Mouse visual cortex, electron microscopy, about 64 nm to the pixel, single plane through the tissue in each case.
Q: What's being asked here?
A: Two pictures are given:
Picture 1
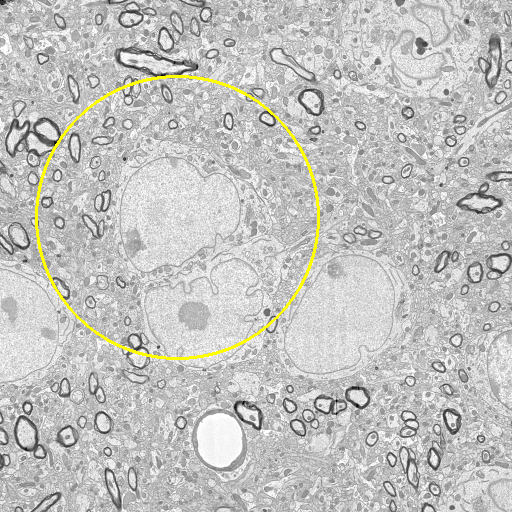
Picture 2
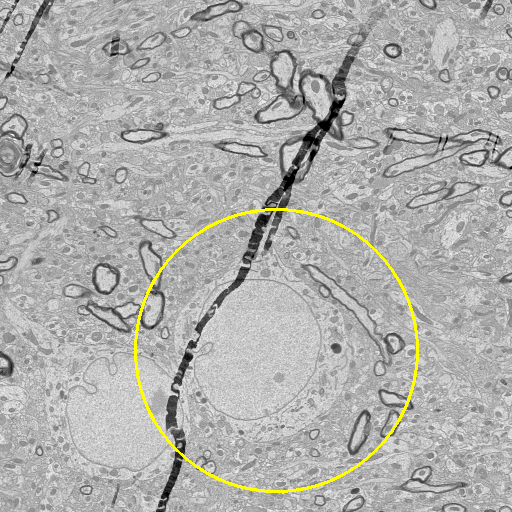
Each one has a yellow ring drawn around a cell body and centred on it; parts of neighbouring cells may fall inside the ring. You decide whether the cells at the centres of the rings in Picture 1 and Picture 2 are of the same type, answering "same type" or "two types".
same type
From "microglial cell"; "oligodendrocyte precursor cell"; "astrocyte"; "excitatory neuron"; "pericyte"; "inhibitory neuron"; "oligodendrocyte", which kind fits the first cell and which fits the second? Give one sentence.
Both the first and the second picture show an excitatory neuron in the ring.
